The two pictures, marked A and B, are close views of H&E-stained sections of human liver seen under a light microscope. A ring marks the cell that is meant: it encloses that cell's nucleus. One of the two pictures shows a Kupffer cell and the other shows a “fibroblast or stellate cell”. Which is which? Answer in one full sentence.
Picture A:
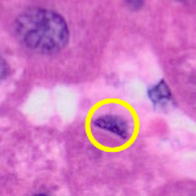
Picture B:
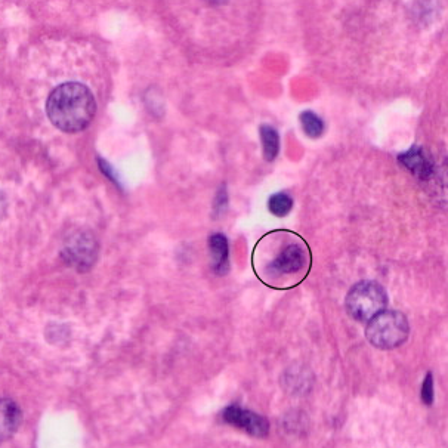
It is picture A that shows a “fibroblast or stellate cell”, and picture B that shows a Kupffer cell.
